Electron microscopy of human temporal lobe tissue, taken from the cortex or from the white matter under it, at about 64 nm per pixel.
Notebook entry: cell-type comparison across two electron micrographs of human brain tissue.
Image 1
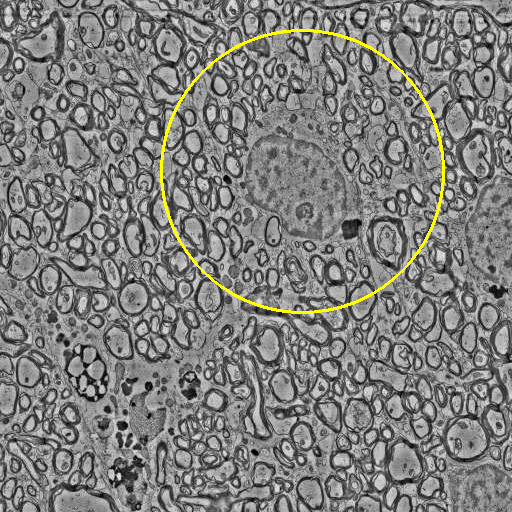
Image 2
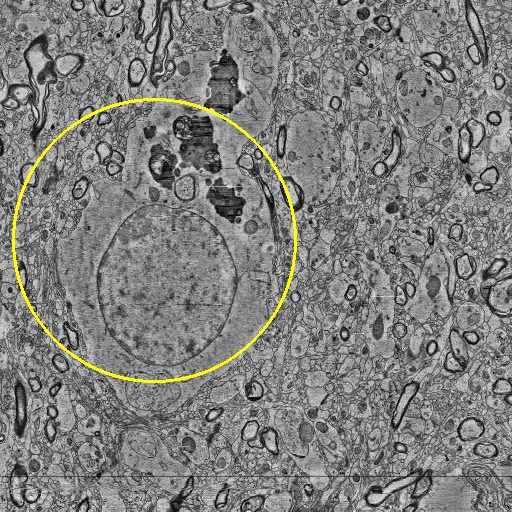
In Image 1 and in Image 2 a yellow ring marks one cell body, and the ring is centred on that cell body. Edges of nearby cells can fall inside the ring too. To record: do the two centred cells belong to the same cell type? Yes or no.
no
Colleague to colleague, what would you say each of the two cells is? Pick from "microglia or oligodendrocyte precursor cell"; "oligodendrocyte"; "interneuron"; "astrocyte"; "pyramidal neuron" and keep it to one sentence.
The cell in the first picture is an oligodendrocyte; the second picture's cell is an astrocyte.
